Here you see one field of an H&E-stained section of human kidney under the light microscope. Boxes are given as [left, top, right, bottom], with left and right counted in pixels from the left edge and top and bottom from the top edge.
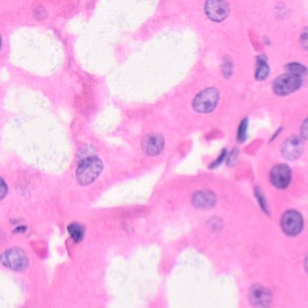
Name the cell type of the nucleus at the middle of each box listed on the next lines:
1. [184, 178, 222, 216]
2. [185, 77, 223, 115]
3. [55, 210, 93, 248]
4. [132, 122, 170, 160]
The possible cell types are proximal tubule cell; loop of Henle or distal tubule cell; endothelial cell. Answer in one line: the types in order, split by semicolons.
proximal tubule cell; proximal tubule cell; endothelial cell; proximal tubule cell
